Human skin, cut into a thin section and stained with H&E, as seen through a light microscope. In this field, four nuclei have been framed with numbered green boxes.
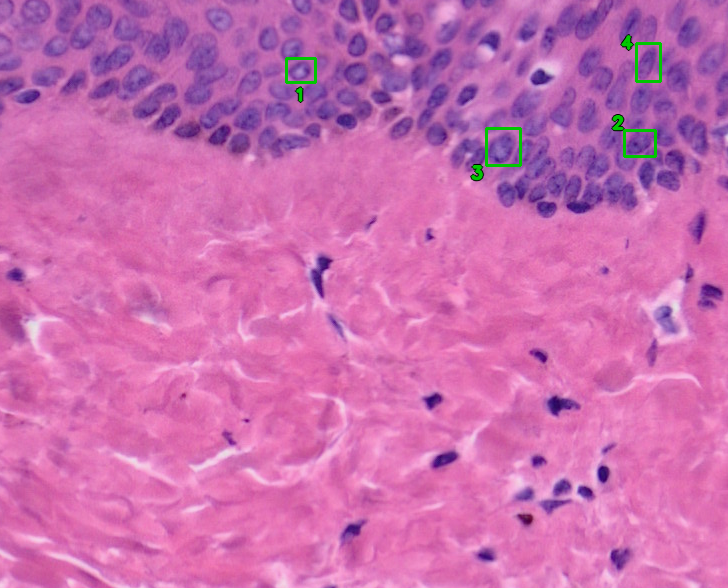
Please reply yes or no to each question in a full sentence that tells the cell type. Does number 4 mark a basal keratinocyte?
No, that is wrong: cell 4 is a suprabasal keratinocyte, and not a basal keratinocyte.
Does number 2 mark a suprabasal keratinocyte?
No, for cell 2, the correct identification is a basal keratinocyte instead of a suprabasal keratinocyte.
